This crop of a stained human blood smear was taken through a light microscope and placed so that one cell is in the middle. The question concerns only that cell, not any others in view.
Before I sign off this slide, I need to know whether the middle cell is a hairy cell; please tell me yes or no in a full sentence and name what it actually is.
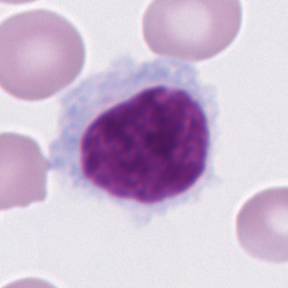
Yes, the cell that is in the middle is a hairy cell.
